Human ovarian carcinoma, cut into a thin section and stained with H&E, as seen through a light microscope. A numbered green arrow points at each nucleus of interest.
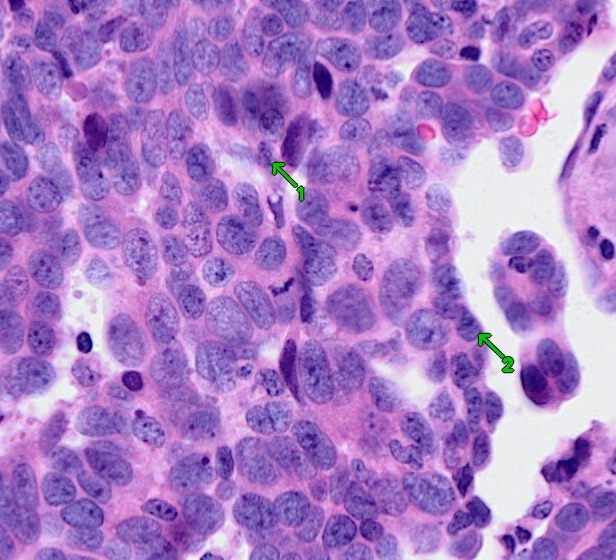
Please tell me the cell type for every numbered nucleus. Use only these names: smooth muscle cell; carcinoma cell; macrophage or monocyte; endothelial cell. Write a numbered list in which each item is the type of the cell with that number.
1. macrophage or monocyte
2. carcinoma cell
